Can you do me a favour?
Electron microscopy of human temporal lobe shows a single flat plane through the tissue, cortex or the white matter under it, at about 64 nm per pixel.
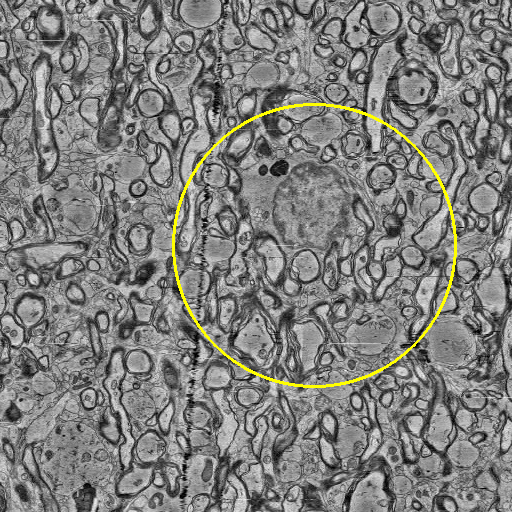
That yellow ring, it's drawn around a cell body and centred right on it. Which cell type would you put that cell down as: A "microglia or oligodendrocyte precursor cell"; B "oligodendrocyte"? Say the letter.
B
